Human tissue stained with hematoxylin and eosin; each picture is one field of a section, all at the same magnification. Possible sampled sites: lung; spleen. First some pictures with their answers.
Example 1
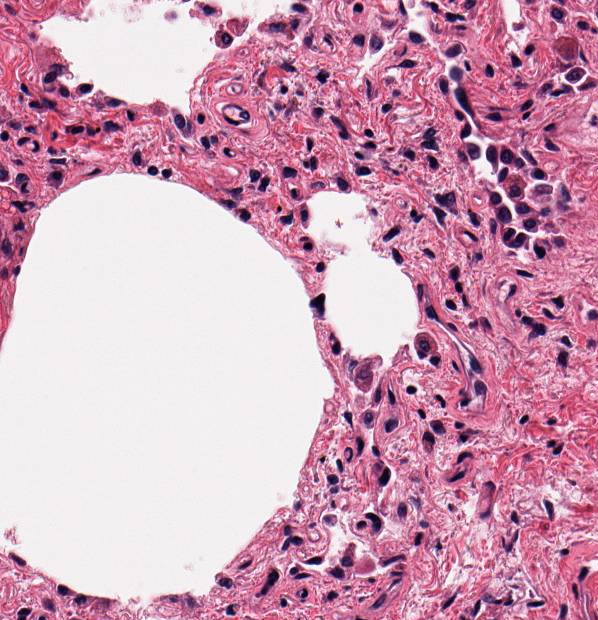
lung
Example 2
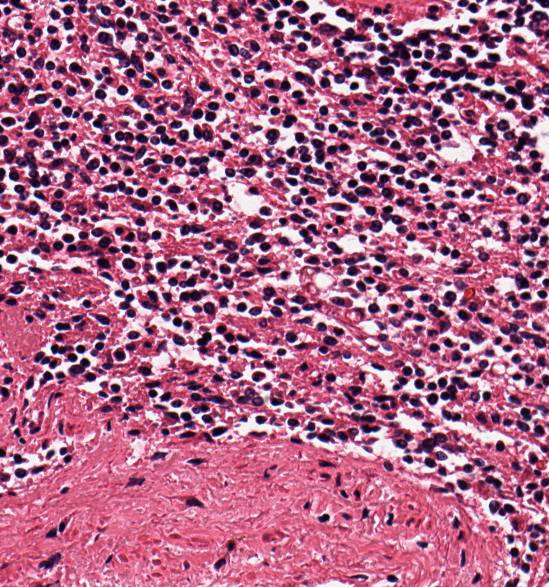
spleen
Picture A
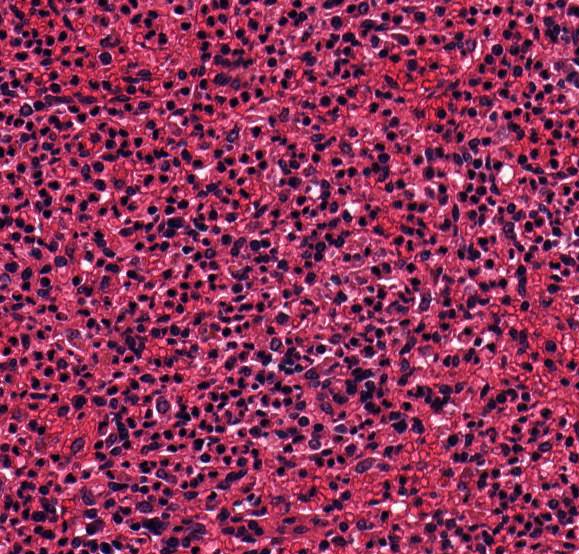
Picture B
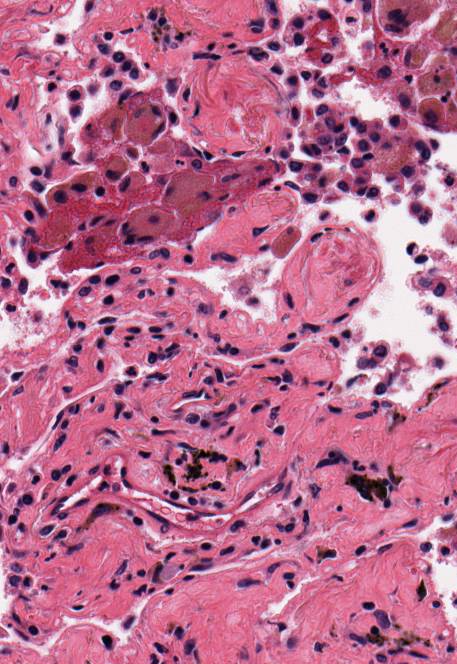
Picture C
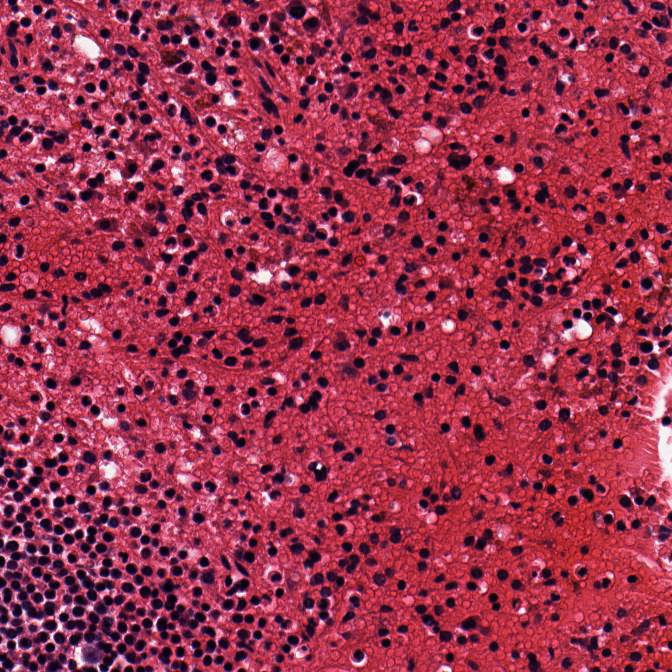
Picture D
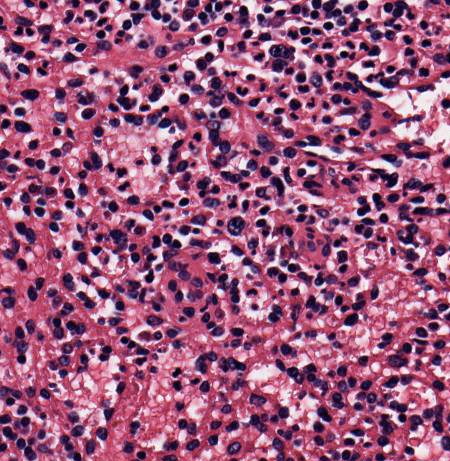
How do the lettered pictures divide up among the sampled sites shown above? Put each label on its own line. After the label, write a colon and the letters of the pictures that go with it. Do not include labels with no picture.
lung: B
spleen: A, C, D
